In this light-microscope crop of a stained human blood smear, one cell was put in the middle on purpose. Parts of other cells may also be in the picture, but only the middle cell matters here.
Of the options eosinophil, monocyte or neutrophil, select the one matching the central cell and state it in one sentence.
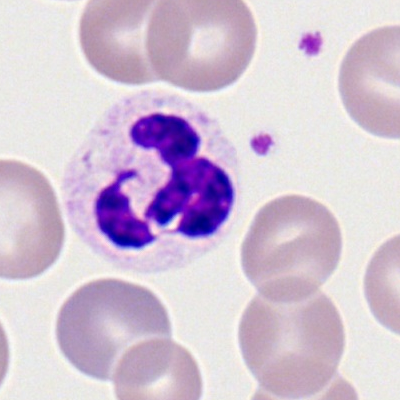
Among the cells in view, the one in the middle is a neutrophil.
